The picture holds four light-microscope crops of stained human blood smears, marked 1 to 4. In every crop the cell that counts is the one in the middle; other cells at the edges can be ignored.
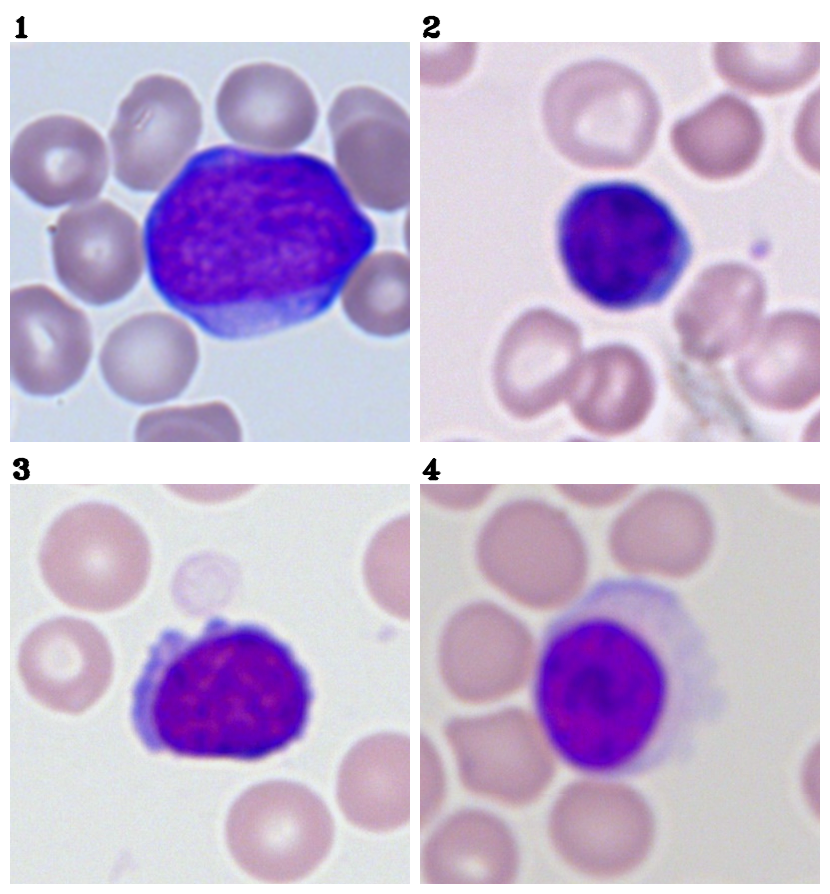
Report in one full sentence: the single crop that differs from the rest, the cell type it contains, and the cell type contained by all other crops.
What sets crop 1 apart is that it shows a myeloblast, while the others show lymphocytes.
